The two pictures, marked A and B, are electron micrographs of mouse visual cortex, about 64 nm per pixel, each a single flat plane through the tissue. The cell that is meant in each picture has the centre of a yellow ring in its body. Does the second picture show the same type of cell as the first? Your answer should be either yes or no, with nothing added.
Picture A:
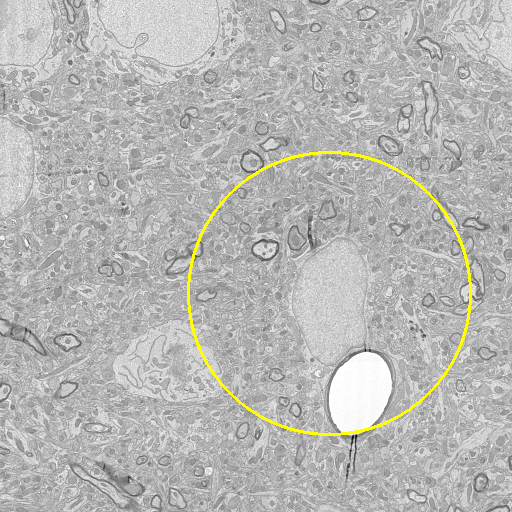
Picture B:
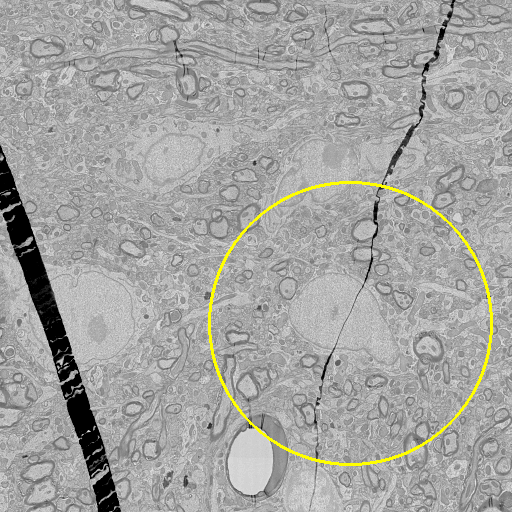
yes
